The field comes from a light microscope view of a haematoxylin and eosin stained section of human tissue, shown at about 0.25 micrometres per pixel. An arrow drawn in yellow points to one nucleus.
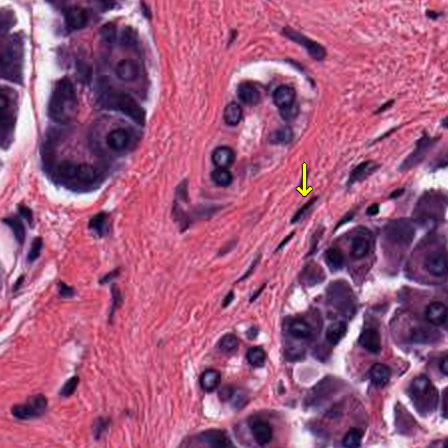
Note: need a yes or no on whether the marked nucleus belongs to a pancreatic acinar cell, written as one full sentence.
No, the cell to which the marked nucleus belongs is a supporting cell rather than a pancreatic acinar cell.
